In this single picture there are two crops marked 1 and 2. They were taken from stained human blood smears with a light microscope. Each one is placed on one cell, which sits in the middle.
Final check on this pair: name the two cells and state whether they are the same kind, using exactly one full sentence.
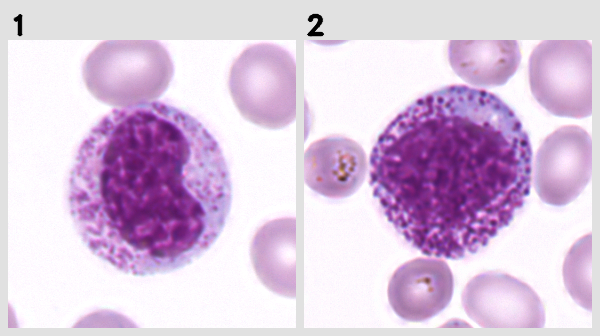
No, as for crop 1, it shows a metamyelocyte, and crop 2 shows a myelocyte.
